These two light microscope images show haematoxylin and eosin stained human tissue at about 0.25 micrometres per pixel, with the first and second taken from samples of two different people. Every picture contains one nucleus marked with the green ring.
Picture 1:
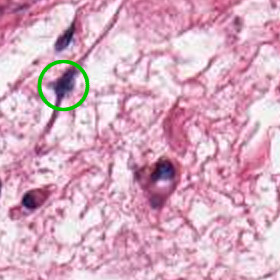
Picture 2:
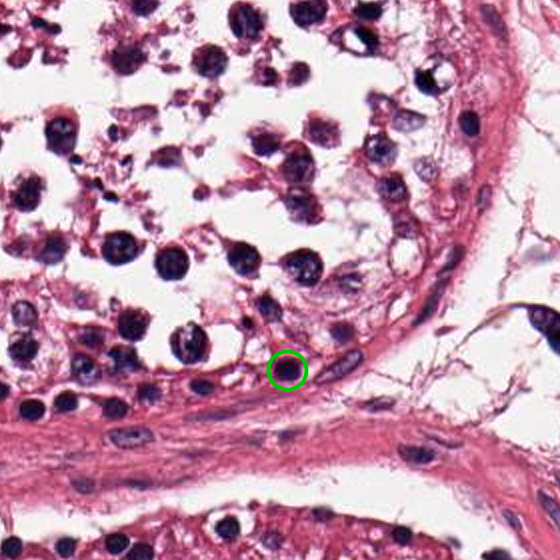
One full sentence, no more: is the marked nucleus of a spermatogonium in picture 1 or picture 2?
Picture 2 has its marked nucleus belonging to a spermatogonium; the other picture does not.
